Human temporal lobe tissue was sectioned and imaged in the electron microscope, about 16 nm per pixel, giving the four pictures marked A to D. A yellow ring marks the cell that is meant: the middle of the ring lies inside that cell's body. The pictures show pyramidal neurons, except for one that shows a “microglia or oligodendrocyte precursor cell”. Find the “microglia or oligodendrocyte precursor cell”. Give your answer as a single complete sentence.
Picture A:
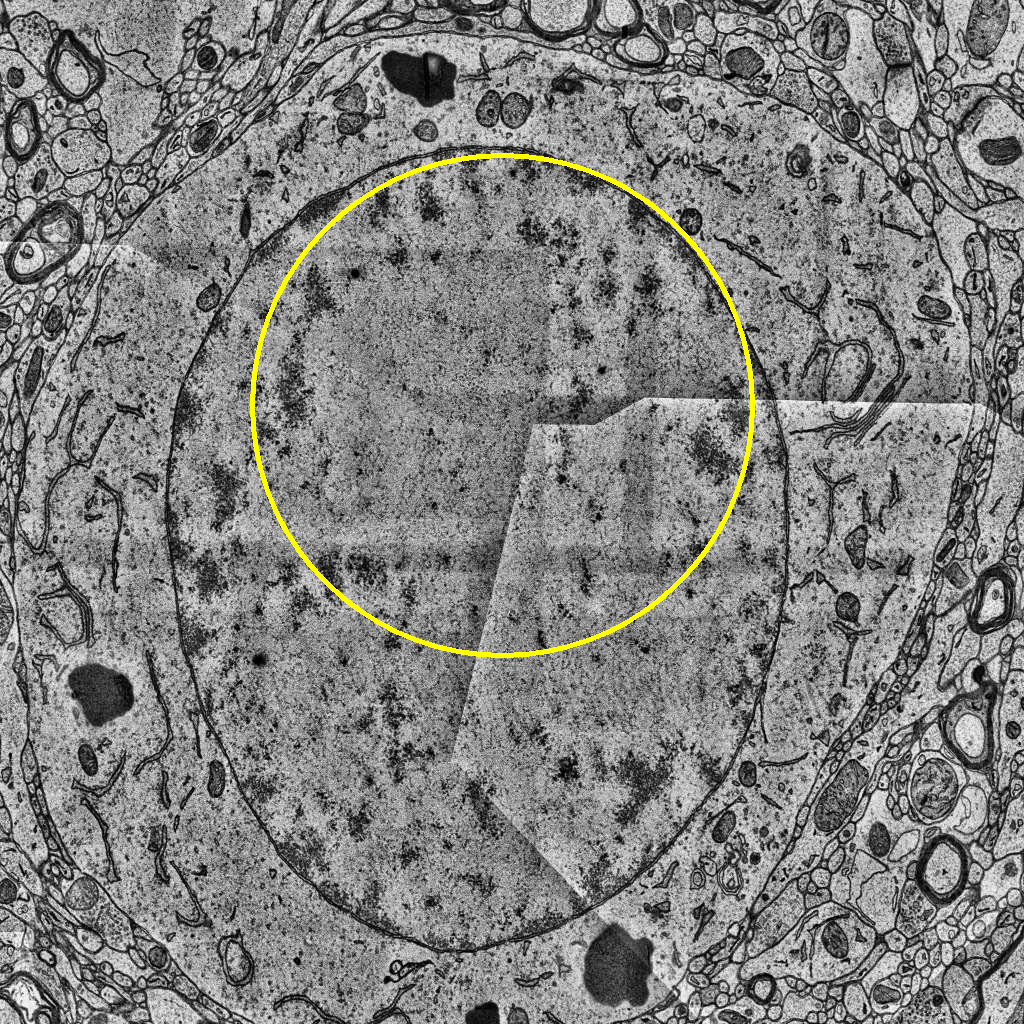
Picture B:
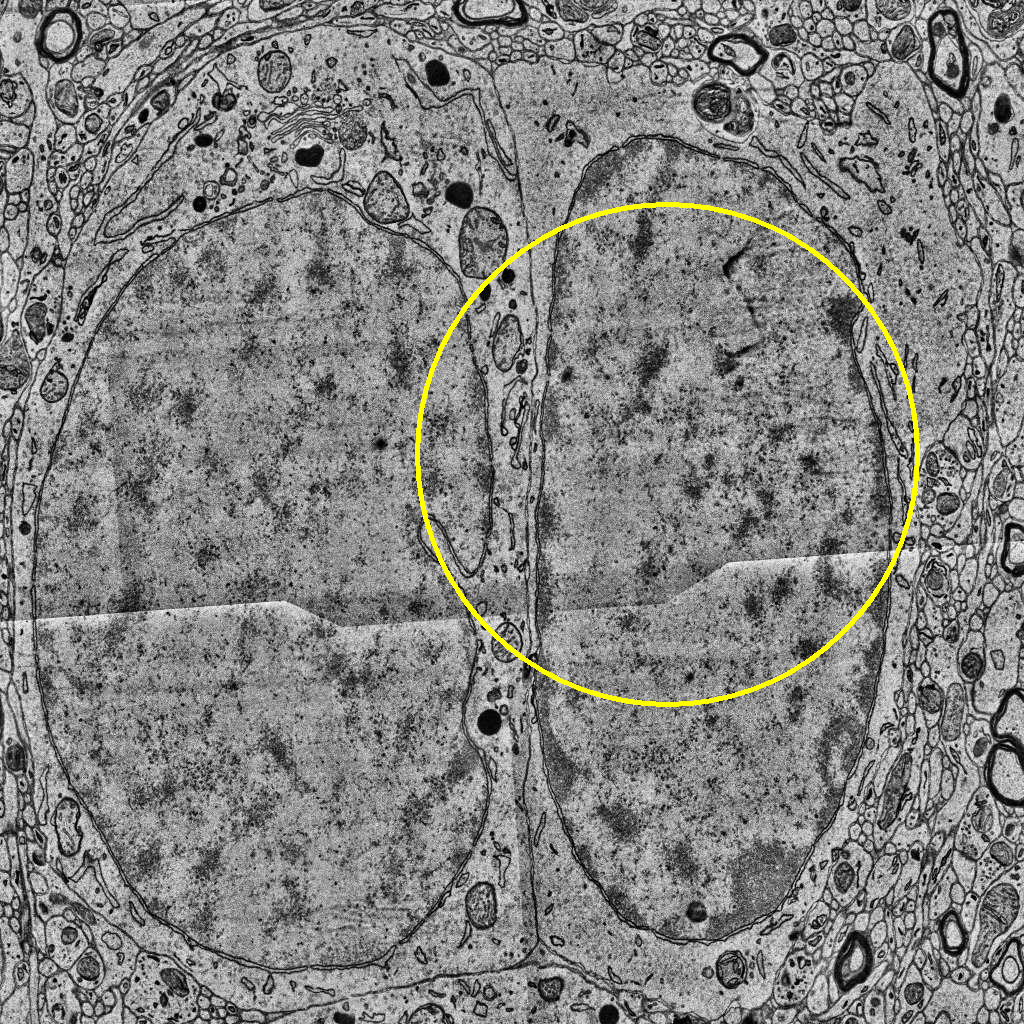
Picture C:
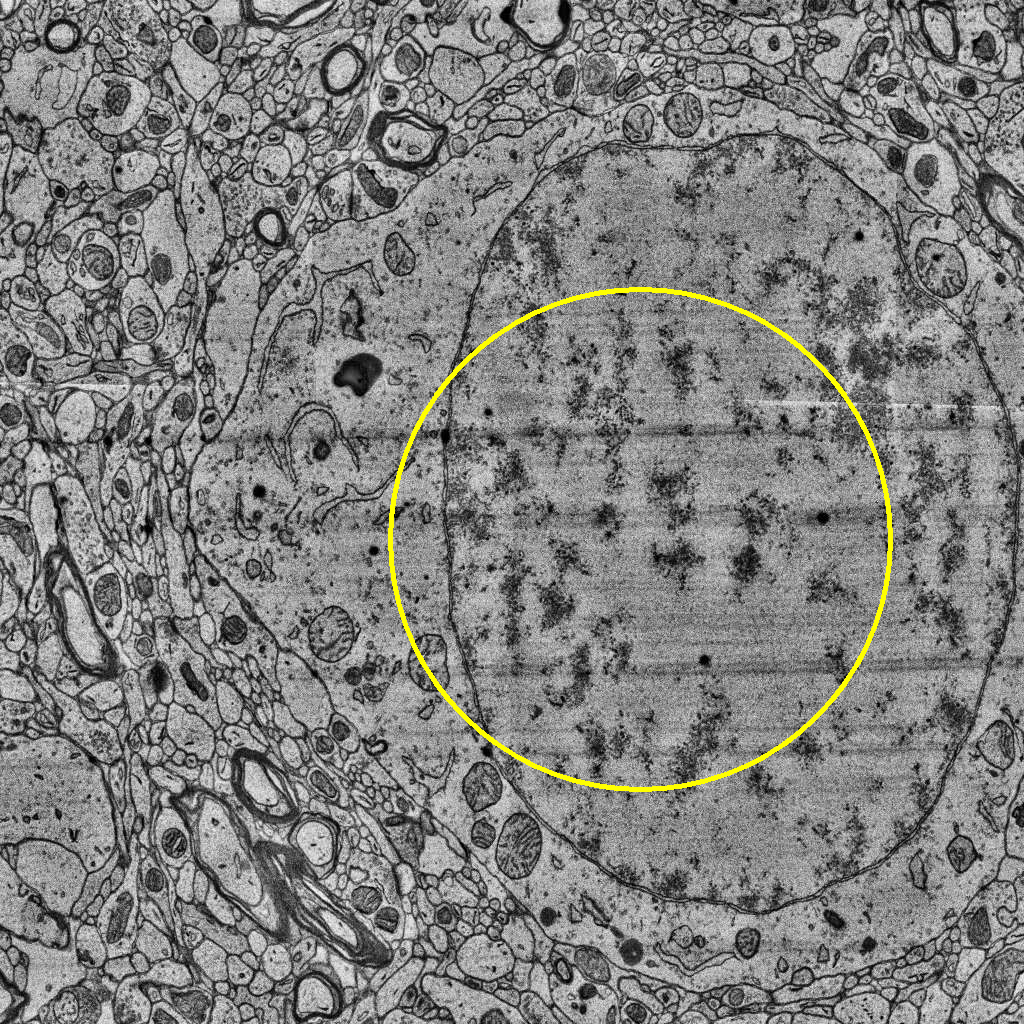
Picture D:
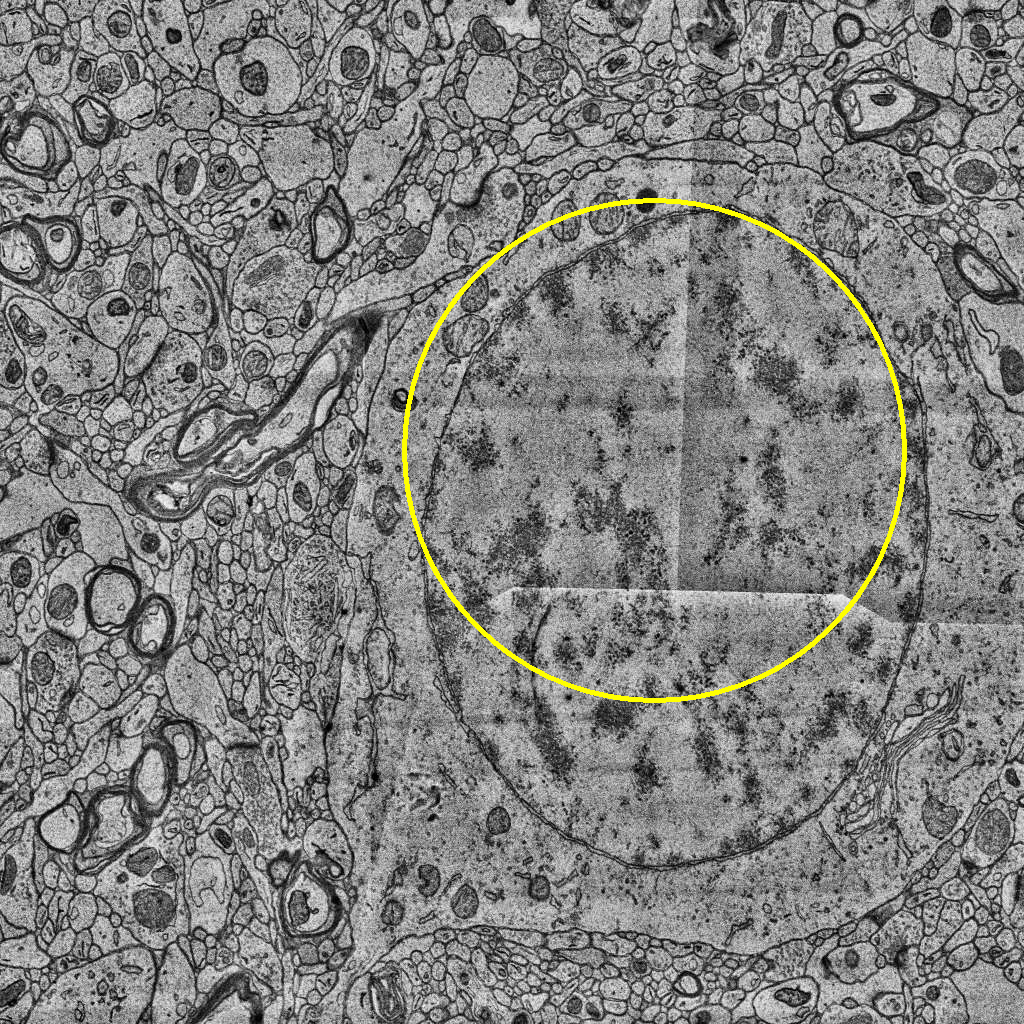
The “microglia or oligodendrocyte precursor cell” is the one in picture B.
